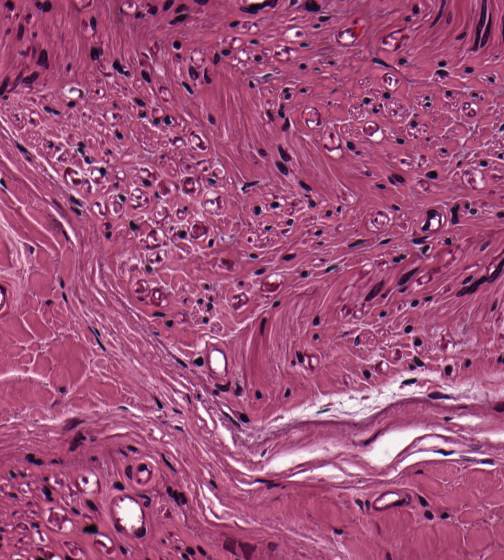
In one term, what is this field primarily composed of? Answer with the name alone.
nerve fascicle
